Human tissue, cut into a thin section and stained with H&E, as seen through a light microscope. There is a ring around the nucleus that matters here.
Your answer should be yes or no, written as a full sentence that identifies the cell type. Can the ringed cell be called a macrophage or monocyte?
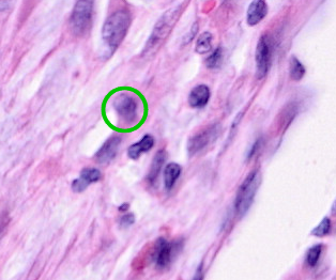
Yes, identifying the ringed cell as a macrophage or monocyte is right.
